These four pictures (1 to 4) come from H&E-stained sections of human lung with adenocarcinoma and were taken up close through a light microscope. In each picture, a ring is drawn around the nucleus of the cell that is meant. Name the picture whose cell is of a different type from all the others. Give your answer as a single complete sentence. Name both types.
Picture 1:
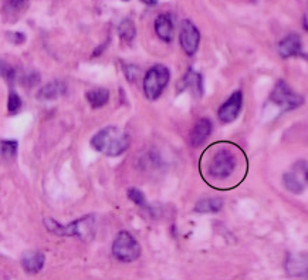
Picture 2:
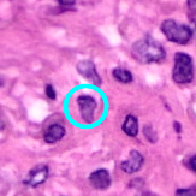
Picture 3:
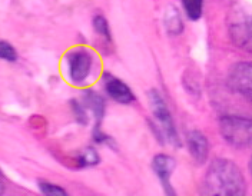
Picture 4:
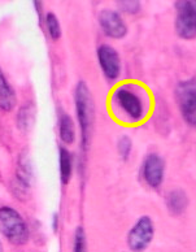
Picture 2 differs, because its cell is a lymphocyte and the rest are plasma cells.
